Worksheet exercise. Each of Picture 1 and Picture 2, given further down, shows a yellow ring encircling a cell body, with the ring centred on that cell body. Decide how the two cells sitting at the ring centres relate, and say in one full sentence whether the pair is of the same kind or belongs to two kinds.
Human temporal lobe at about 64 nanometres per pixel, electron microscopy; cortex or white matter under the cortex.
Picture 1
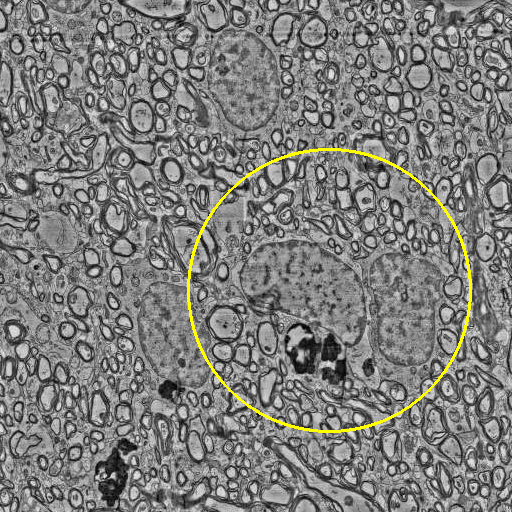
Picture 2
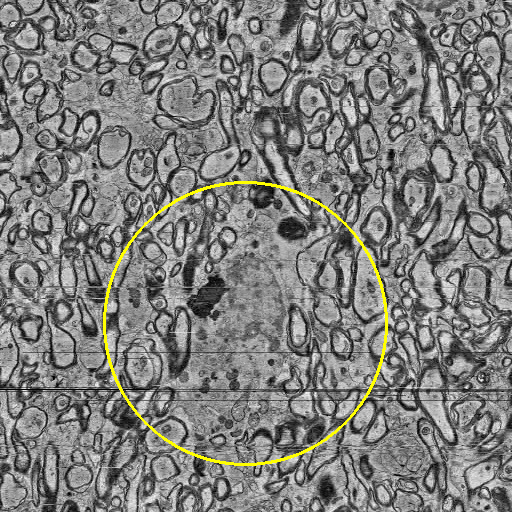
The cells at the ring centres in Picture 1 and Picture 2 belong to two kinds.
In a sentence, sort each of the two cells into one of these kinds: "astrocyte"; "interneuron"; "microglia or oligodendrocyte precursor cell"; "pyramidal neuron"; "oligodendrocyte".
The first of the two cells is a microglial cell or oligodendrocyte precursor cell, and the second is an oligodendrocyte.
